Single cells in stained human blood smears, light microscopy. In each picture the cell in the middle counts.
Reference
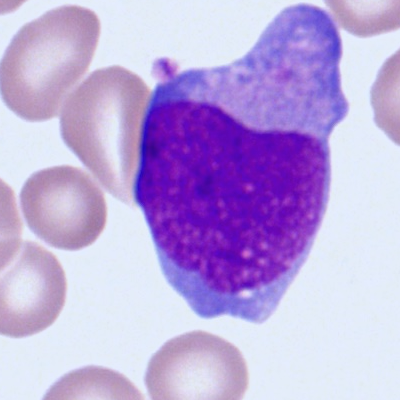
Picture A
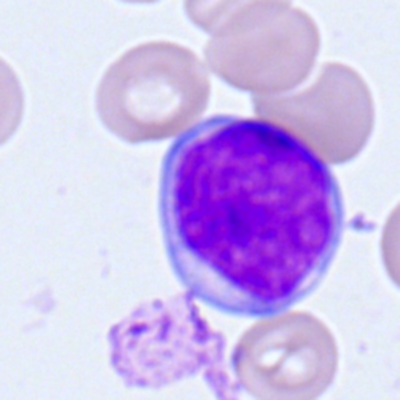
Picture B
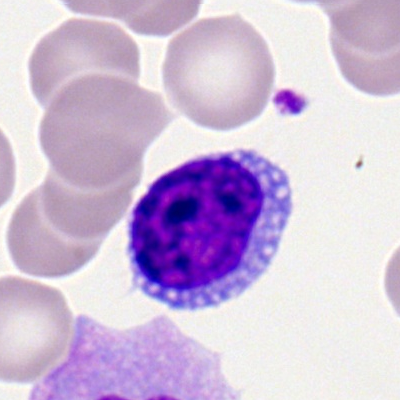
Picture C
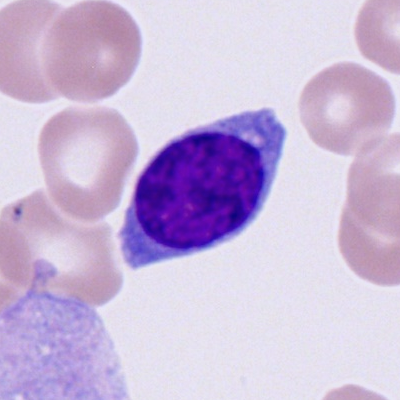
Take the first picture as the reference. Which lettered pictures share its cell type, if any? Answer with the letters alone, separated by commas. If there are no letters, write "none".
A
